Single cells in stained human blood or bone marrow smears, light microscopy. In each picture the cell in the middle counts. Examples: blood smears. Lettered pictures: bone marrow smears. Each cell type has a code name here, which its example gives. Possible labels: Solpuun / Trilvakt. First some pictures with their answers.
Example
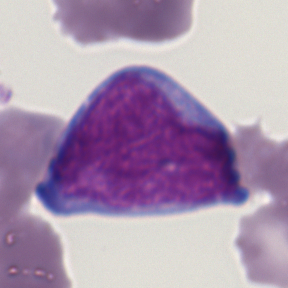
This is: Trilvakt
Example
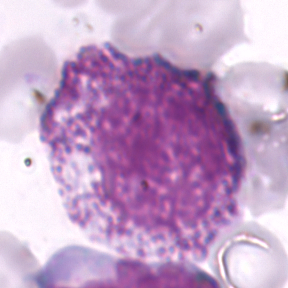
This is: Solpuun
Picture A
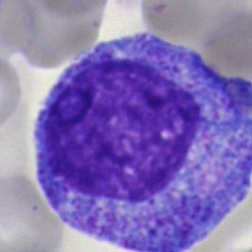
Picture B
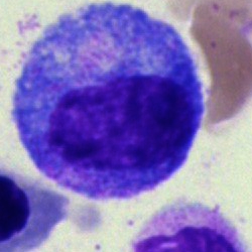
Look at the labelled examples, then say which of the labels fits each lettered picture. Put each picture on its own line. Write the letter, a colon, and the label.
A: Solpuun
B: Solpuun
